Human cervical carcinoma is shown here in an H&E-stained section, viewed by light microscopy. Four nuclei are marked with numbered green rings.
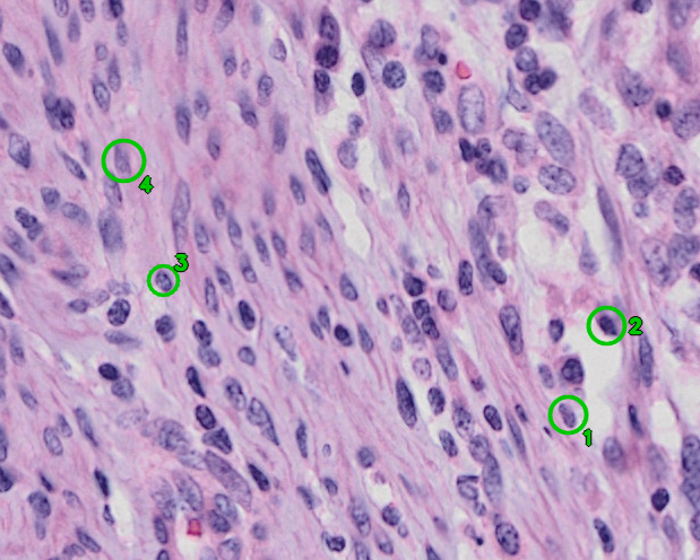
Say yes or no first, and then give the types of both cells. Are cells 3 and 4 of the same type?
Yes, both are smooth muscle cells.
